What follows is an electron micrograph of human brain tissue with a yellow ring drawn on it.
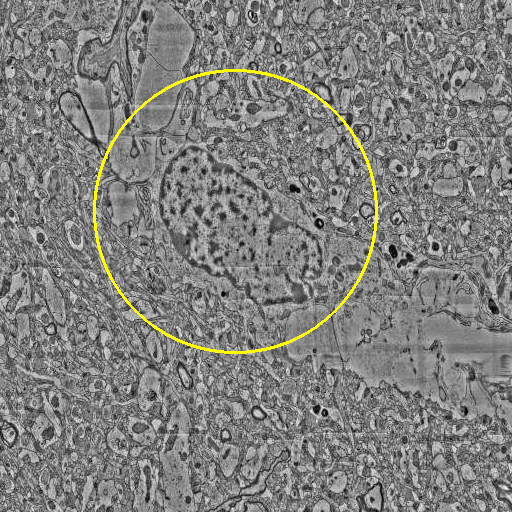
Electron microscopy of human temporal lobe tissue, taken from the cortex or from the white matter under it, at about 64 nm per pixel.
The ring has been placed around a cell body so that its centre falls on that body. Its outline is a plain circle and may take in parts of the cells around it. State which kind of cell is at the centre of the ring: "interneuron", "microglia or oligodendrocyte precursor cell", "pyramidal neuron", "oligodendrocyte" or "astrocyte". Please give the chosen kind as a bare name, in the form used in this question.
microglia or oligodendrocyte precursor cell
